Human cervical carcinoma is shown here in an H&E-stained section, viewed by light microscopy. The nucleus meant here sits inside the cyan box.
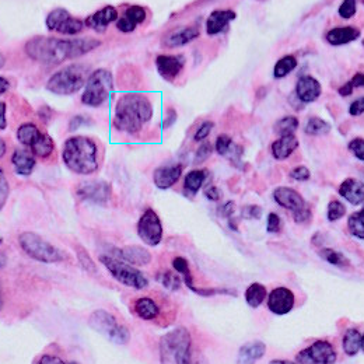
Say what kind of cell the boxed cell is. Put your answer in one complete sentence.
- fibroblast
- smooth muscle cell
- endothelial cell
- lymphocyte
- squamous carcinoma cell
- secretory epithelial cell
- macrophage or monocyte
It is a macrophage or monocyte that the boxed cell represents.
